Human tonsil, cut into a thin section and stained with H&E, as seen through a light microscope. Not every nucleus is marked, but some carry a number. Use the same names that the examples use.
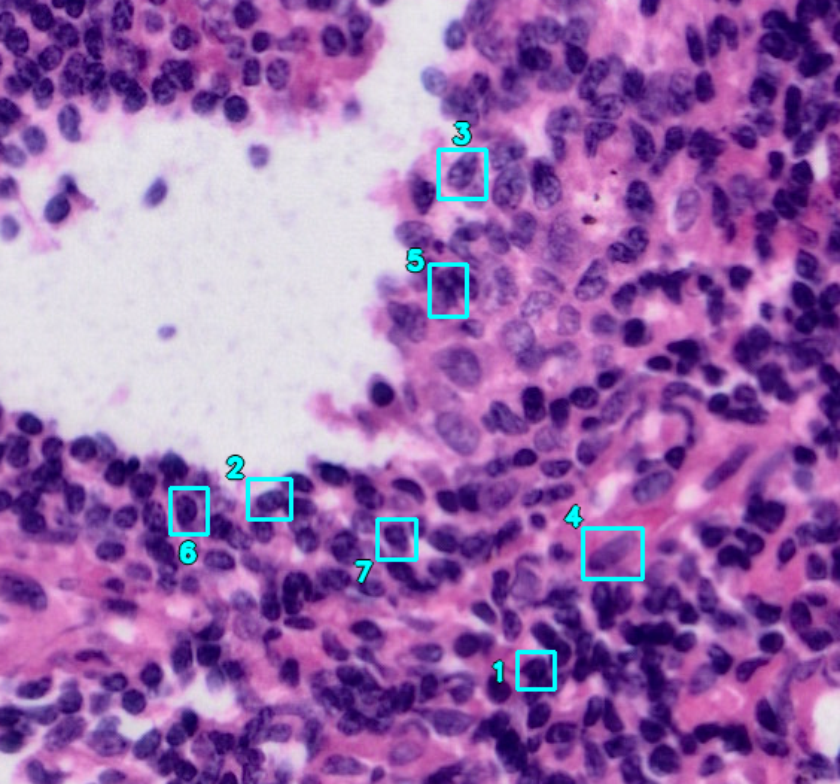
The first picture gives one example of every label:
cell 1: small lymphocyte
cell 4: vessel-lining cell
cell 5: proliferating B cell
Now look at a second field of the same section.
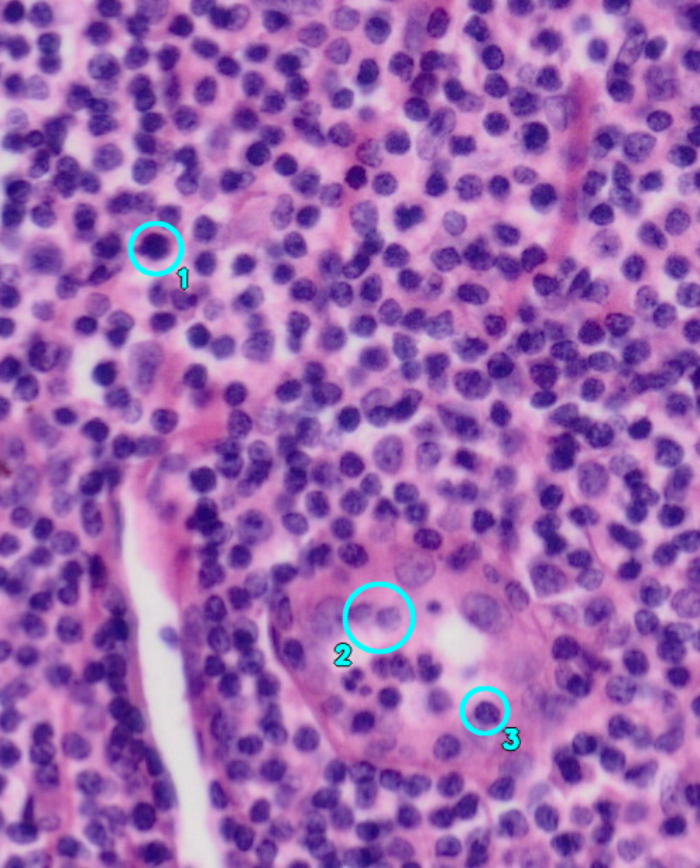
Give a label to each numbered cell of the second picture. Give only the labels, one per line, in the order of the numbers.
proliferating B cell
vessel-lining cell
vessel-lining cell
